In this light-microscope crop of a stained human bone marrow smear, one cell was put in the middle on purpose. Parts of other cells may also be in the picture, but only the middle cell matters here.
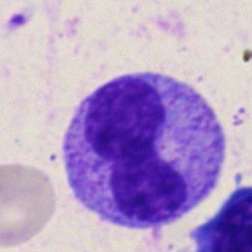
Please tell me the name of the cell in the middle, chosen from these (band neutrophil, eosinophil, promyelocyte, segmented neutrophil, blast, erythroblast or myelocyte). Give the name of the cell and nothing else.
band neutrophil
